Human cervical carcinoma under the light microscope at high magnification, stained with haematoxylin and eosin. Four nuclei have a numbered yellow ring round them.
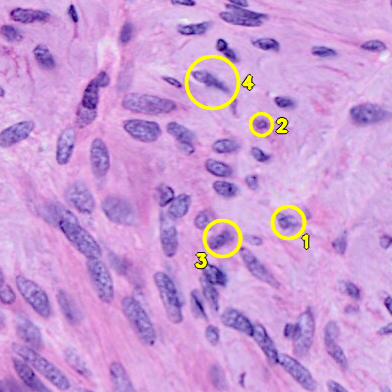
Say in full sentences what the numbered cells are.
Cells 1, 2 and 3 are smooth muscle cells. Cell 4 is a fibroblast.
